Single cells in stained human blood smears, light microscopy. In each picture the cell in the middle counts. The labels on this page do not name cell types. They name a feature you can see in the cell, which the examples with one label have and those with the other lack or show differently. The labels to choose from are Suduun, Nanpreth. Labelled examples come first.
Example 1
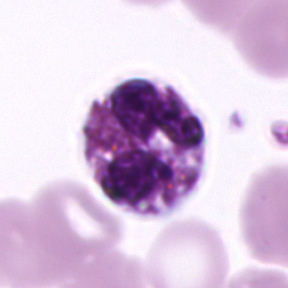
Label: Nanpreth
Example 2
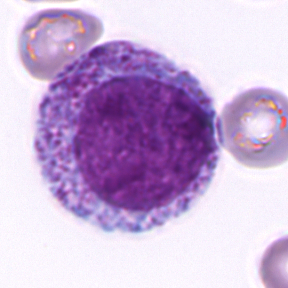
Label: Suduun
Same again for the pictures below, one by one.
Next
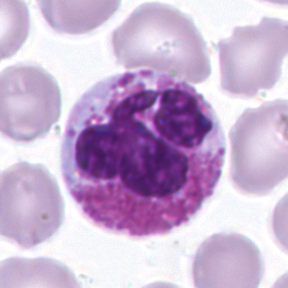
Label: Suduun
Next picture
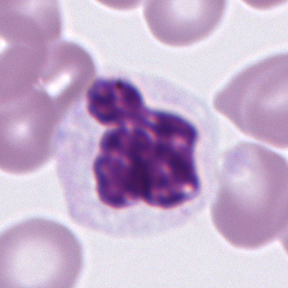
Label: Nanpreth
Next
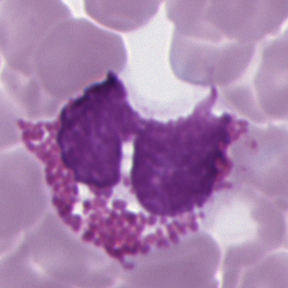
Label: Suduun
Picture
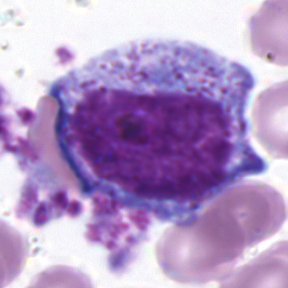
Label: Nanpreth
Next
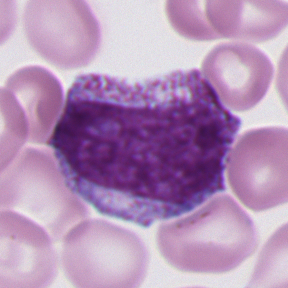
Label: Nanpreth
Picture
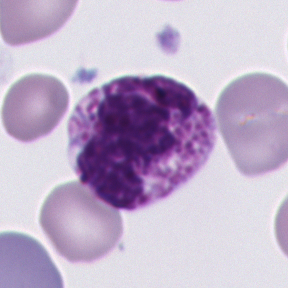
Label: Suduun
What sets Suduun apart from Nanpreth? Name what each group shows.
In Suduun: coarse or large granules. In Nanpreth: fine or small granules.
